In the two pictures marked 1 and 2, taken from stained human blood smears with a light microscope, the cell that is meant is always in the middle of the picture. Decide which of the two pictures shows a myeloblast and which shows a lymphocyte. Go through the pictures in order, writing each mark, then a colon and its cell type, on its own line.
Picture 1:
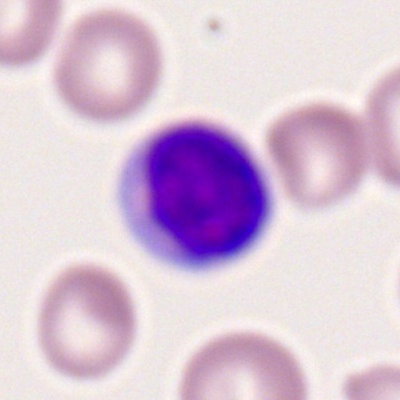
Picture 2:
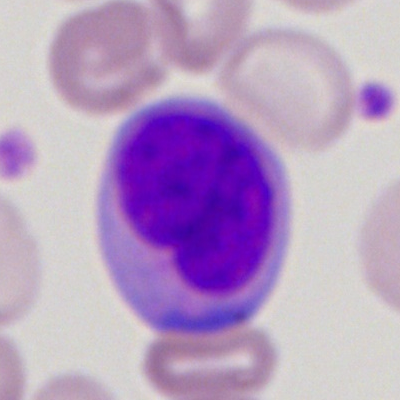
1: lymphocyte
2: myeloblast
